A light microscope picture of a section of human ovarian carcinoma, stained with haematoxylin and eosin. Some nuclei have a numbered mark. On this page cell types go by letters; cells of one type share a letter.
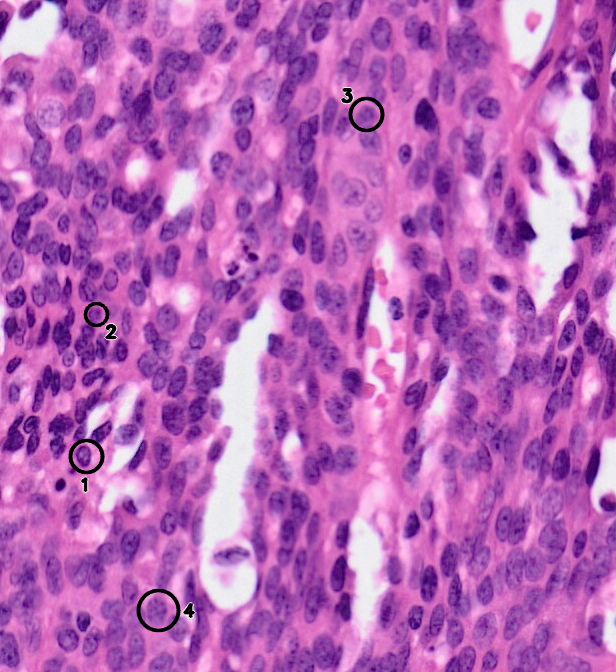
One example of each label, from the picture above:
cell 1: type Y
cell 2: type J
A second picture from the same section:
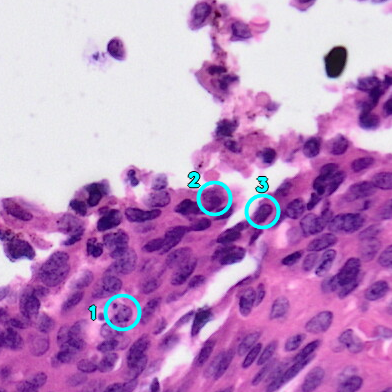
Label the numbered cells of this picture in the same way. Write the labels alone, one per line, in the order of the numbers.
type Y
type J
type J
